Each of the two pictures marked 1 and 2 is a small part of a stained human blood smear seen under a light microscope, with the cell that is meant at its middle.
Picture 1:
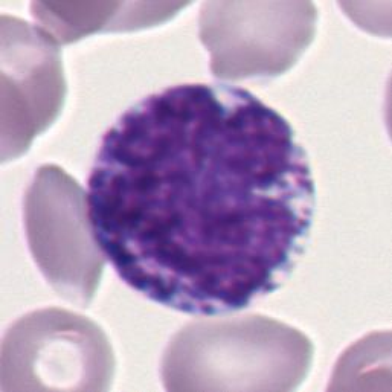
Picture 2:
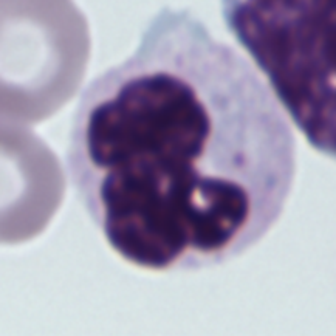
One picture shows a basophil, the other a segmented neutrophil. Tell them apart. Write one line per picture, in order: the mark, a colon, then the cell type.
1: basophil
2: segmented neutrophil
